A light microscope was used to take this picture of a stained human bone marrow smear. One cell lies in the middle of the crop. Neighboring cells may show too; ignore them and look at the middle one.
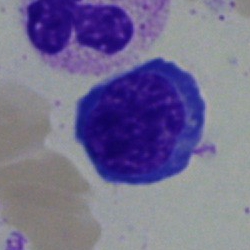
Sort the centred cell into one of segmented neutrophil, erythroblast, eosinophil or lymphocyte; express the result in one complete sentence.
This particular crop is centered on an erythroblast.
